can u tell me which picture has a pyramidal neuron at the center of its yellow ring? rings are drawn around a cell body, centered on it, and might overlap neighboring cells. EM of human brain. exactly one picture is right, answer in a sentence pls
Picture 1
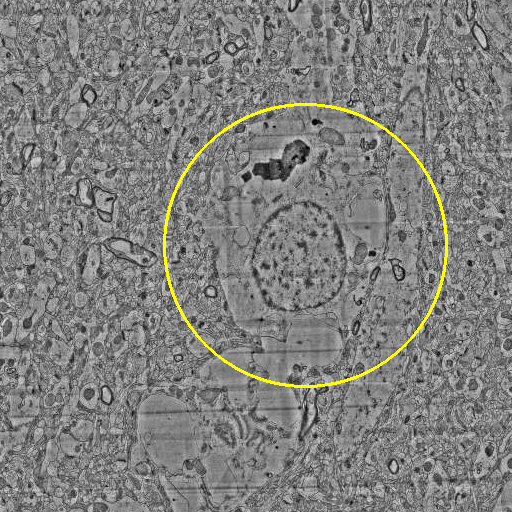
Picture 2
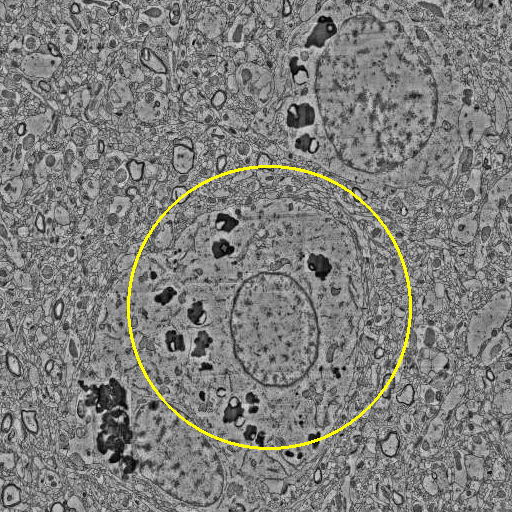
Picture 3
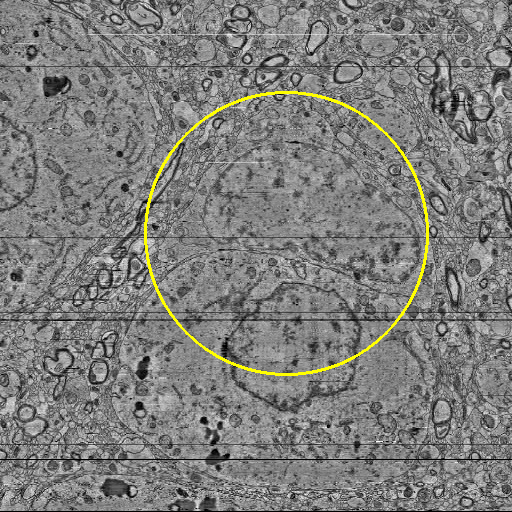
Picture 2 is the one.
